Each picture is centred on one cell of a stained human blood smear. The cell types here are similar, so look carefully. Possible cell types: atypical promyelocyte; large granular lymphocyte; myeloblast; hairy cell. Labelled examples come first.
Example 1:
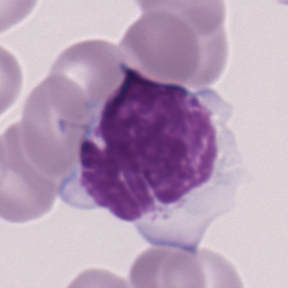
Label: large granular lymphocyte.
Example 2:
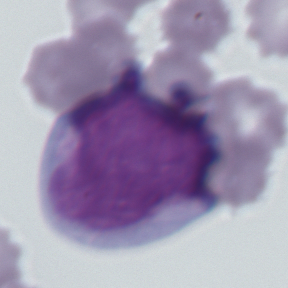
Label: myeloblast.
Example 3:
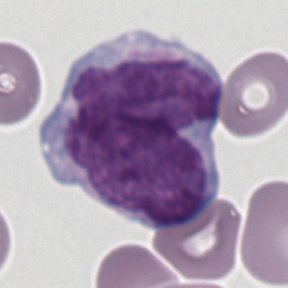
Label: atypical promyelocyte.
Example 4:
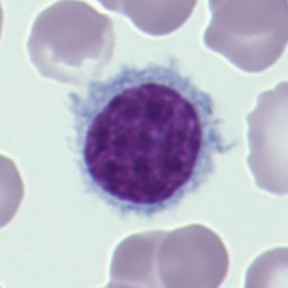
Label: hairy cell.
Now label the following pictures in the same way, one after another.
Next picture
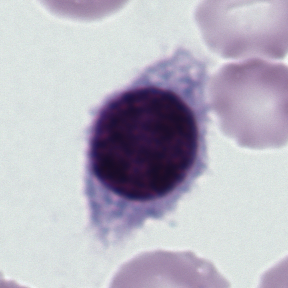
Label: hairy cell.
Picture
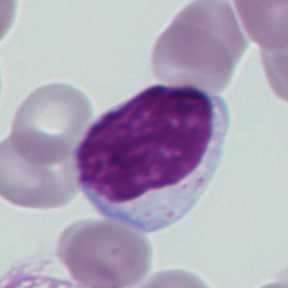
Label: large granular lymphocyte.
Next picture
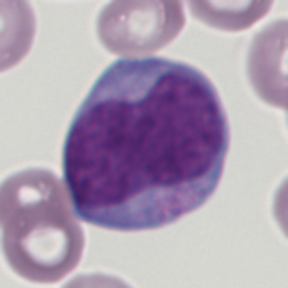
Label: atypical promyelocyte.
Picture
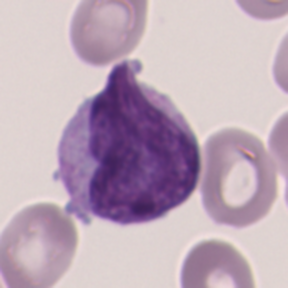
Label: atypical promyelocyte.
